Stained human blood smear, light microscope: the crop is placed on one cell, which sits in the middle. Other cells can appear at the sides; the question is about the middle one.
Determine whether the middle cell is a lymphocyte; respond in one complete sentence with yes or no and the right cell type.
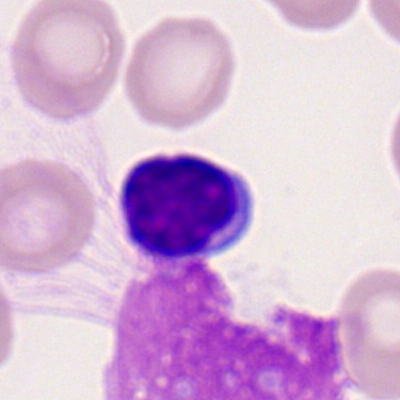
Yes, a lymphocyte occupies the middle of the crop.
